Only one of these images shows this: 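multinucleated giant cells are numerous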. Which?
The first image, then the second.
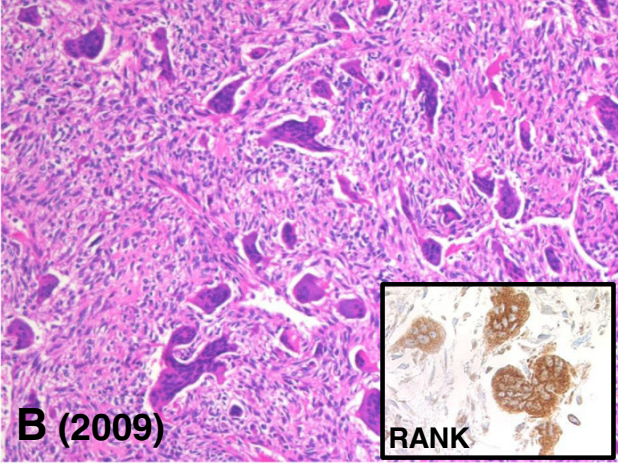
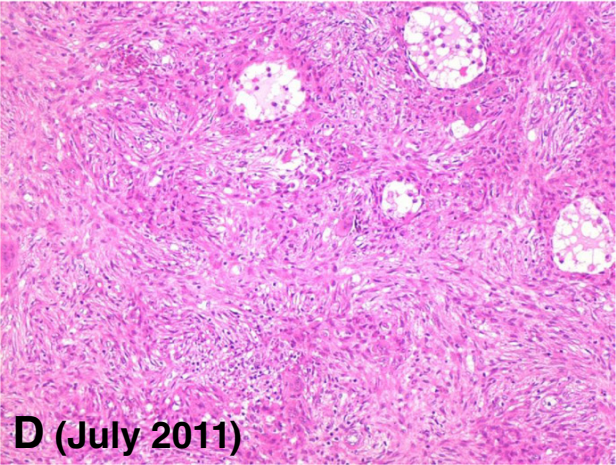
The first image.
